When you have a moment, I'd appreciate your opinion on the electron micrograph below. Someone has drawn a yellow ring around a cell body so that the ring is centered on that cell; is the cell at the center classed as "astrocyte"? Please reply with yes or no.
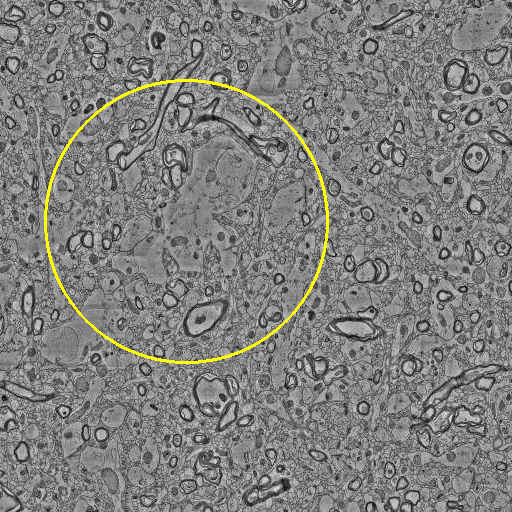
Yes, that cell is of the named kind.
